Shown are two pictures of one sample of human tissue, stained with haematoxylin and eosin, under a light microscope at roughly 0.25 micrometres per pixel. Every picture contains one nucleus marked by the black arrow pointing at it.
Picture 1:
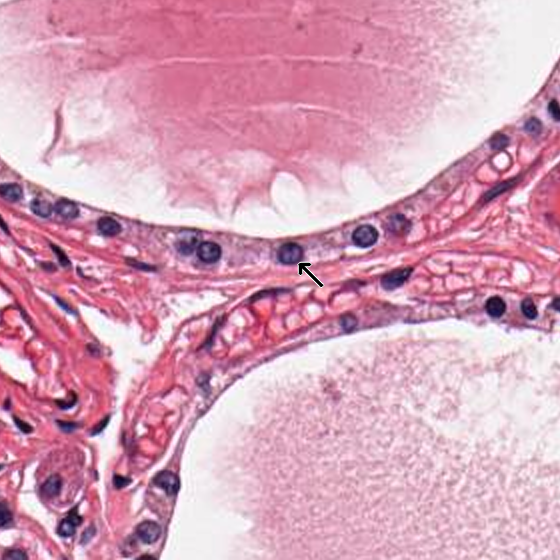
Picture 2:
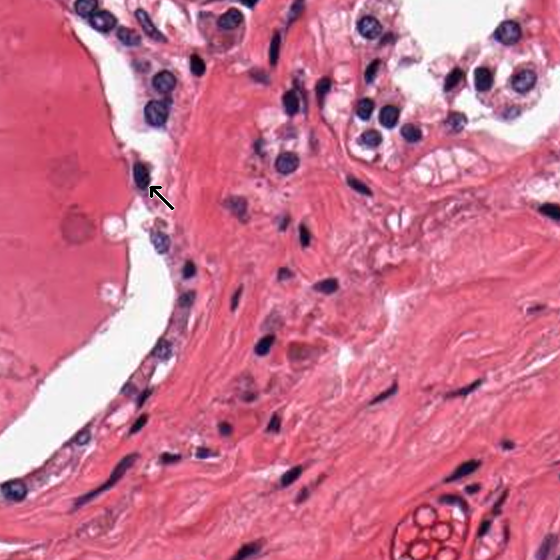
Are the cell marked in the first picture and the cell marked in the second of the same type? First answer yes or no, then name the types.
Yes, both are thyroid follicular cells.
